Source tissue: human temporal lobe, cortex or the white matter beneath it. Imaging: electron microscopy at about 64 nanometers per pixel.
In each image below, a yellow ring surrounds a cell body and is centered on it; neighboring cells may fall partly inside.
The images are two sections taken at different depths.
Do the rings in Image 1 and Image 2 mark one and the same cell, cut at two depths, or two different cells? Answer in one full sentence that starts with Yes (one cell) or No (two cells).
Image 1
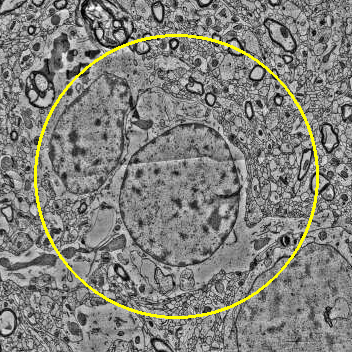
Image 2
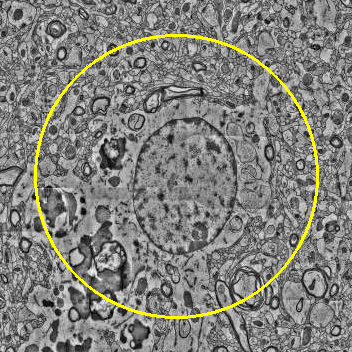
No, the pair of yellow rings marks two distinct cells.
